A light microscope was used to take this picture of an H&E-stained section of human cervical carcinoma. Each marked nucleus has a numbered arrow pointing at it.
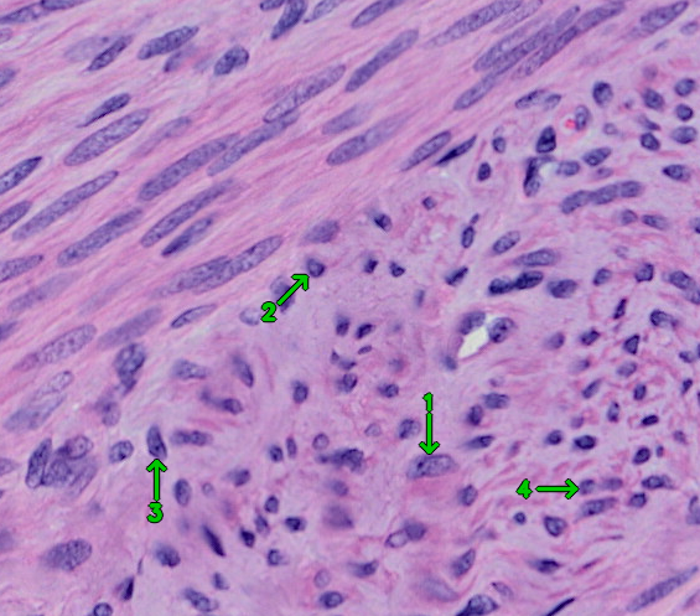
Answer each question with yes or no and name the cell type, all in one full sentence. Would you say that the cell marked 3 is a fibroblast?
Yes, the one with the number 3 is a fibroblast.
